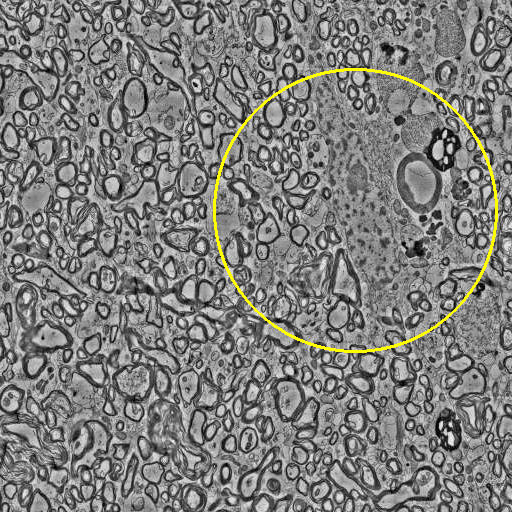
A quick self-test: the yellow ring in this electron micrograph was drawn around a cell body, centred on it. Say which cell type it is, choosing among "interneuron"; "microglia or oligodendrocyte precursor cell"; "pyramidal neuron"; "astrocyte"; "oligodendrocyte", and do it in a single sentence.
The yellow-ringed cell is an astrocyte.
